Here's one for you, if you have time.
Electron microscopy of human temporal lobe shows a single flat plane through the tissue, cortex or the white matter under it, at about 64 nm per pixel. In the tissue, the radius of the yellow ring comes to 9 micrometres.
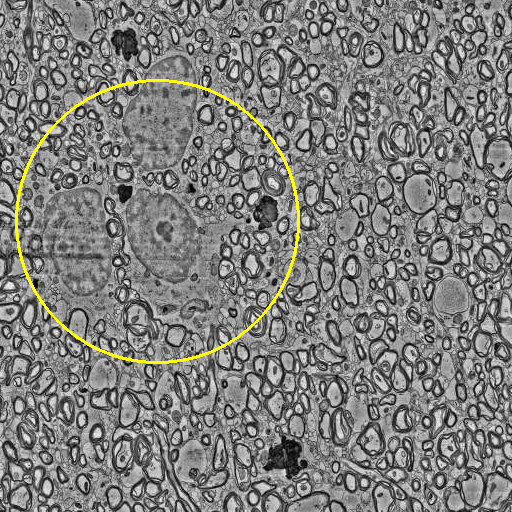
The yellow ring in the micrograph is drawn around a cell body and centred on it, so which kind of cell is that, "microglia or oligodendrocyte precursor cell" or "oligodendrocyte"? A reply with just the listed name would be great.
oligodendrocyte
